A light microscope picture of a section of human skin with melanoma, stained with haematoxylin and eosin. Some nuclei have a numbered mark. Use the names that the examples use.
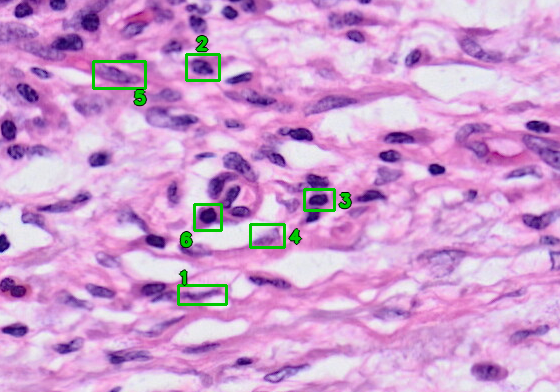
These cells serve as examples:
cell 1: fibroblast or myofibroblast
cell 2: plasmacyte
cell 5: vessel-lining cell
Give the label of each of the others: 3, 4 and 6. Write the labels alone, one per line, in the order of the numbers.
plasmacyte
fibroblast or myofibroblast
plasmacyte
